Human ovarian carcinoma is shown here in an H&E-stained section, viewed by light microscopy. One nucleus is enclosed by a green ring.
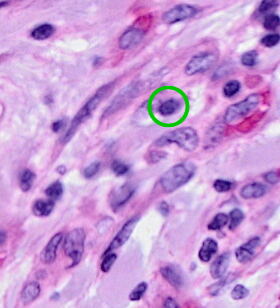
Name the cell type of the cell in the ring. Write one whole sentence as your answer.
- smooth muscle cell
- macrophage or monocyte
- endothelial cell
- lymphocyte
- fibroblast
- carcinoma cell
Assigned to a cell type, the cell in the ring is a lymphocyte.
